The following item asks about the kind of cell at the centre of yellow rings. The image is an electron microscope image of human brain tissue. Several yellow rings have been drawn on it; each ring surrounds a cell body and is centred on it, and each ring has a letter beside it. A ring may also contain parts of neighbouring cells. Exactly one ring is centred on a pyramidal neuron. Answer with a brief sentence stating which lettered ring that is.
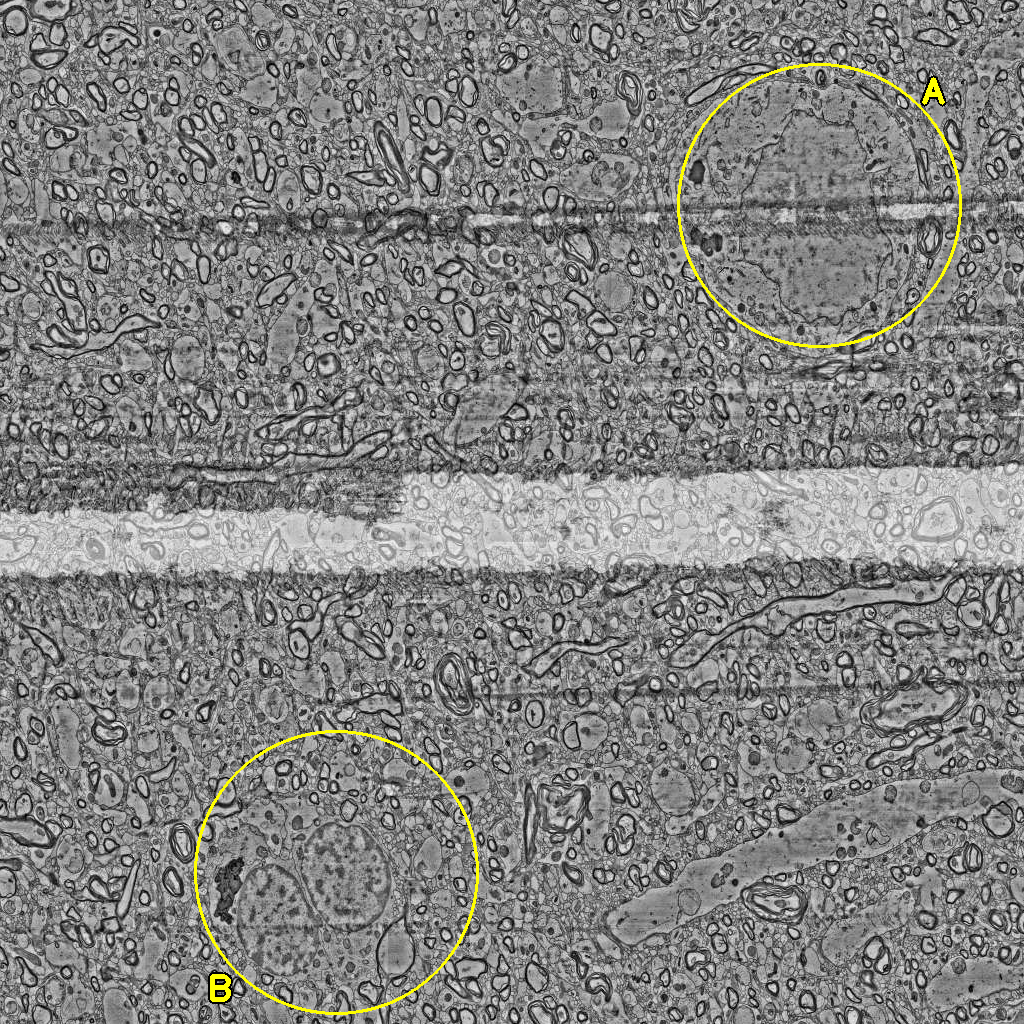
That is ring A.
